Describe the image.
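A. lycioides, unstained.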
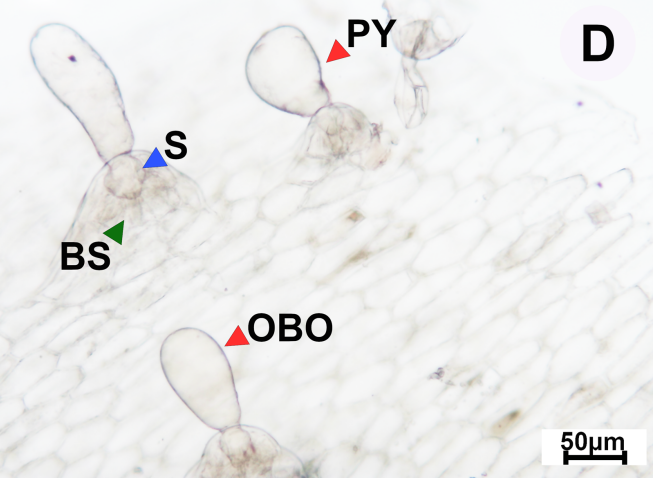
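Glandular trichomes rise from an epidermis of elongated, colourless cells. Each trichome has a broad multicellular base, a short narrow stalk and a single large, thin-walled, translucent apical gland cell that is pear-shaped or egg-shaped.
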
